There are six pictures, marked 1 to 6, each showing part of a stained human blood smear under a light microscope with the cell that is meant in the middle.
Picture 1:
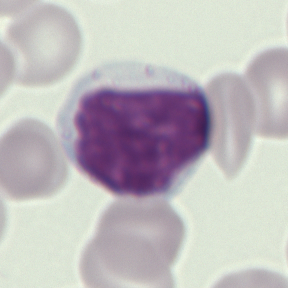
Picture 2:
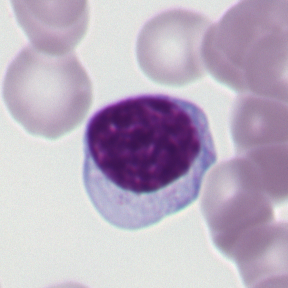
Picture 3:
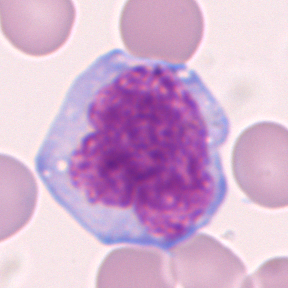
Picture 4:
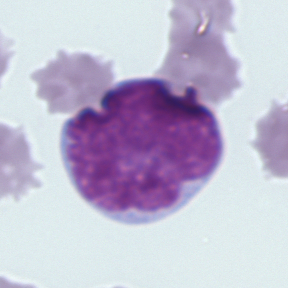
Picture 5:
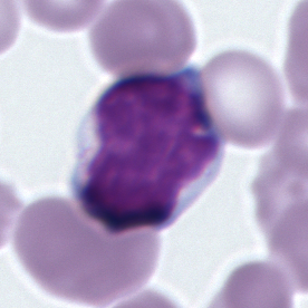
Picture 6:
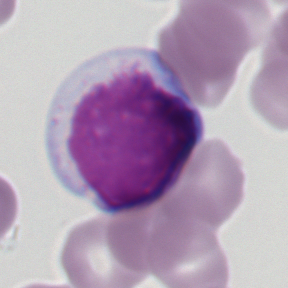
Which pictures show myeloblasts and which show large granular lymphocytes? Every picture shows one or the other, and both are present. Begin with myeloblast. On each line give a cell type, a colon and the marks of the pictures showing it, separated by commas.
myeloblast: 3, 4
large granular lymphocyte: 1, 2, 5, 6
